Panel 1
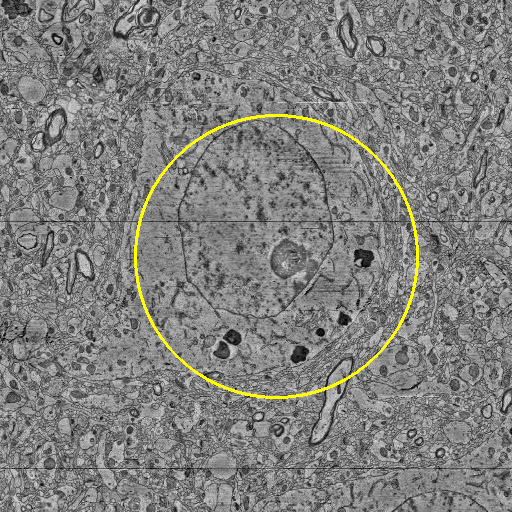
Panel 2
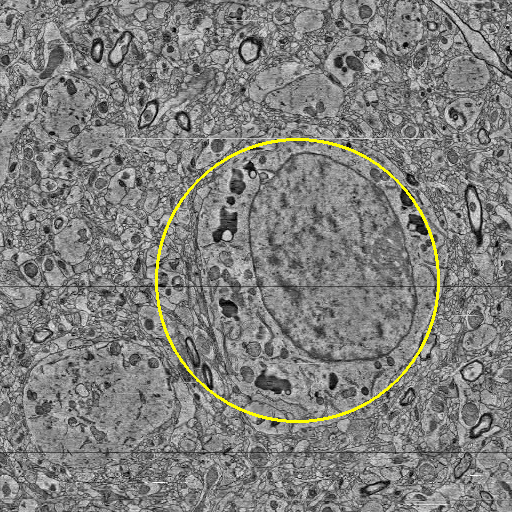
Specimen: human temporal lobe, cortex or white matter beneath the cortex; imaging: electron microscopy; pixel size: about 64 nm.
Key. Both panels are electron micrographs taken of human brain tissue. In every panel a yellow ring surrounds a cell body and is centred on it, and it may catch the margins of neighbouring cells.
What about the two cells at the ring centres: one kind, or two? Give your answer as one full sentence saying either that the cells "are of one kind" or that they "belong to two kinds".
Across Panels 1 and 2, the two cells at the ring centres belong to two kinds.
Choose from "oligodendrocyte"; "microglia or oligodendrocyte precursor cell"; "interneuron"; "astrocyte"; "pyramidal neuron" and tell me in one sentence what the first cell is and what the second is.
What the first ring is centred on is a pyramidal neuron; what the second ring is centred on is an interneuron.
